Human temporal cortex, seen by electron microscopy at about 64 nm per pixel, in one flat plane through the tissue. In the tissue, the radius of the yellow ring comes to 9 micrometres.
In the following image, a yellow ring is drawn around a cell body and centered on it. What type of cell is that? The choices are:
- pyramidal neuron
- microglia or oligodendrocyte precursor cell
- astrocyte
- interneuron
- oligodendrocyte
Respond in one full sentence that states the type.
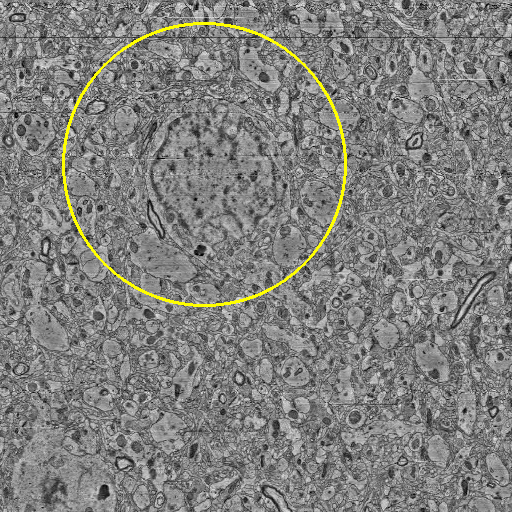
The cell at the center of the yellow ring in the image is an interneuron.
